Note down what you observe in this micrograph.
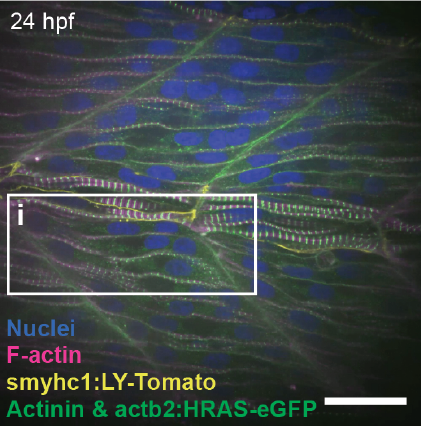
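Elongated, spindle-shaped developing muscle fibres run roughly in parallel across the field, outlined by thin green membranes. Within them are thin, sparse strands showing fine periodic dots of green and magenta, a delicate beaded striation far less dense than fully packed fibres. Oval blue nuclei are numerous, stretched along the long axis of the cells and sit between the strands. A few bright yellow outlines appear along some fibres. Overall these are young, elongating muscle fibres with early, thin striated filaments and plenty of space between them.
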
